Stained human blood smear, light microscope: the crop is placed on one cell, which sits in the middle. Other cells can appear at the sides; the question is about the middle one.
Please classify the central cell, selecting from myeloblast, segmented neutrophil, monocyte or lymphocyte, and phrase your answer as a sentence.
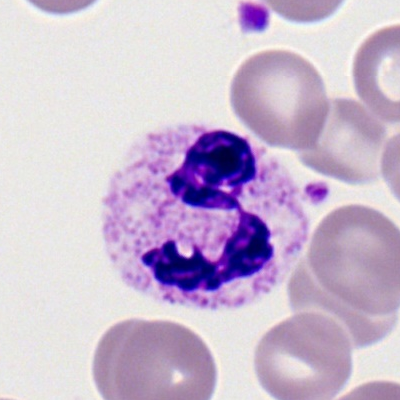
Occupying the centre of the crop is a segmented neutrophil.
